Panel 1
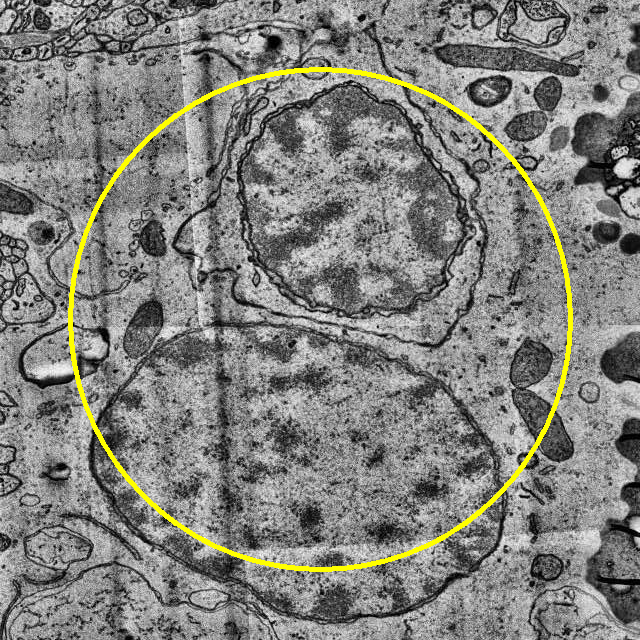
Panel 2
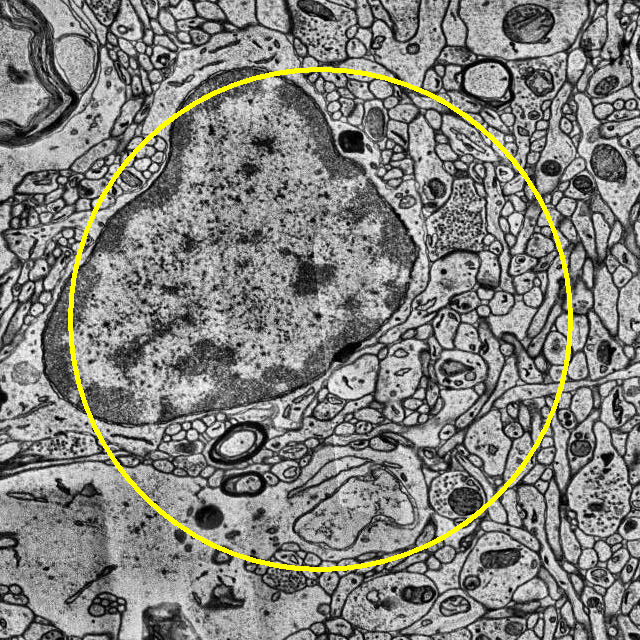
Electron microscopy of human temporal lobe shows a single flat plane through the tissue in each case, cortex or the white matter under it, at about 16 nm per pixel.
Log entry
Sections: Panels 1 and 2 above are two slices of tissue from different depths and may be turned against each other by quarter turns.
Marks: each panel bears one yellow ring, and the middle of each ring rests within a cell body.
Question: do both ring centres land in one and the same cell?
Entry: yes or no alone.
no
